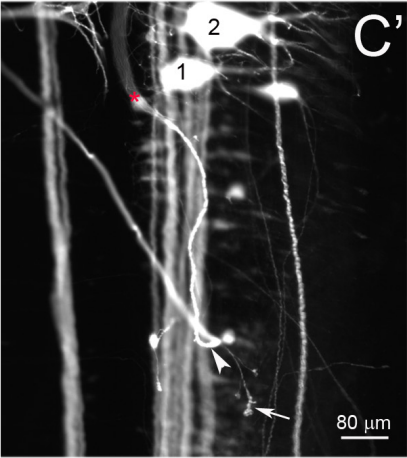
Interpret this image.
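Two large, rounded cell bodies lie near the top. A single bright axon runs downward beside the bundles, then makes a tight U-shaped loop and turns back upward. Near the loop, small swellings and fine, beaded thin fibers branch off as sprouts. The surrounding axons are long, straight and of varying thickness, some with fine side branches near the neuron cell bodies.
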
